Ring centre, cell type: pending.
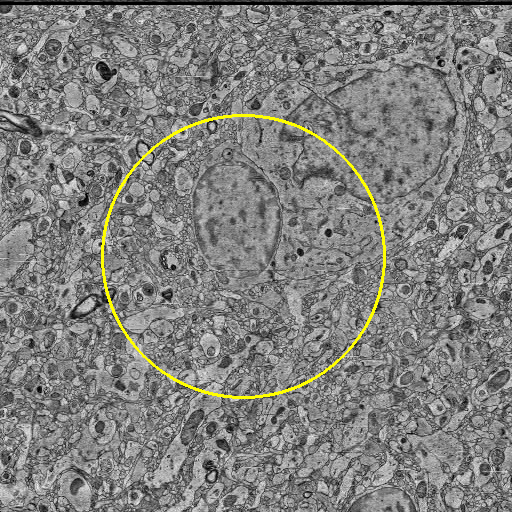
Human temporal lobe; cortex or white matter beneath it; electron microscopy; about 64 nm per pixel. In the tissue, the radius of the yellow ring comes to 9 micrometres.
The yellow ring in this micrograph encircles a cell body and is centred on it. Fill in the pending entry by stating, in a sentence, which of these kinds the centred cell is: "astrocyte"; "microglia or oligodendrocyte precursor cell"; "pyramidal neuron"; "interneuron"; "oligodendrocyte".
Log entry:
The centred cell is recorded as an oligodendrocyte.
